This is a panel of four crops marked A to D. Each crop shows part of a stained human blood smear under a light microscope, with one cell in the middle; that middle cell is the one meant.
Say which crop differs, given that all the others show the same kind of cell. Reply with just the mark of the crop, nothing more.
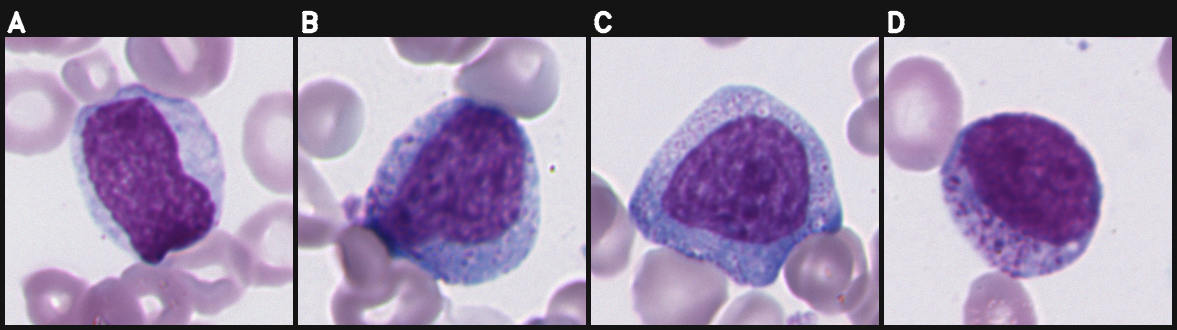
A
